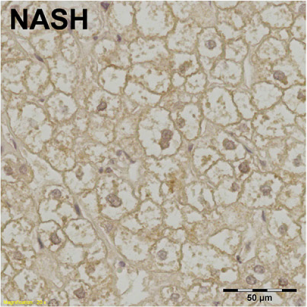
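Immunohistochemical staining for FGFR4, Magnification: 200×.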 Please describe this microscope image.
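Liver tissue in which the hepatocytes are enlarged, with pale, clear, finely netted cytoplasm consistent with lipid deposition. The cell borders stand out as brown-stained outlines, and round nuclei with purple counterstain sit within the cells, some of them also tinged brown.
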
